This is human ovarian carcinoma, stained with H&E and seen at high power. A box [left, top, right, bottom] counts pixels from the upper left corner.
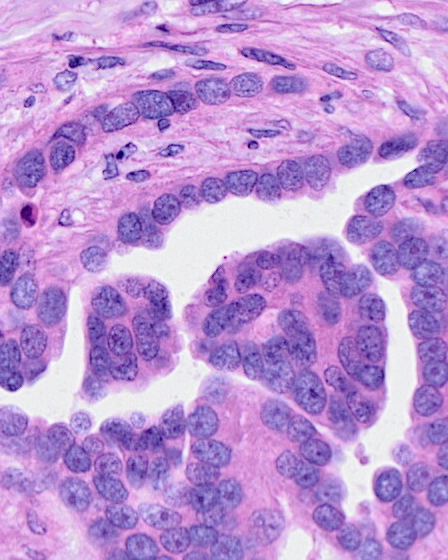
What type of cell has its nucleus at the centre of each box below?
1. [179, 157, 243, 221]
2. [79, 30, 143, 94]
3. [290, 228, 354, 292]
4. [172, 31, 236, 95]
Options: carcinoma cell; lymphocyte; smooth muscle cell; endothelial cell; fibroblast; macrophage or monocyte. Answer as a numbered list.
1. carcinoma cell
2. fibroblast
3. carcinoma cell
4. fibroblast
